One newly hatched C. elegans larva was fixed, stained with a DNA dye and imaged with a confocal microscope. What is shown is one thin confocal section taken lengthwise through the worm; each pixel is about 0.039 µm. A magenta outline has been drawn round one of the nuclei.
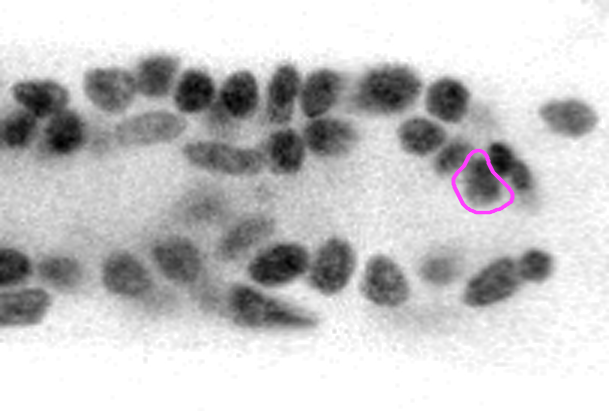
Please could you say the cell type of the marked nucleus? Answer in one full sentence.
What is marked is the nucleus of a pharyngeal muscle cell.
